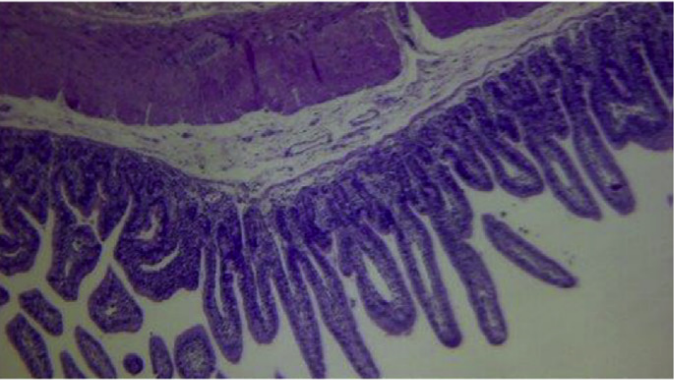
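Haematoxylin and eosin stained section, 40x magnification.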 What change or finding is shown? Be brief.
edema in the submucosa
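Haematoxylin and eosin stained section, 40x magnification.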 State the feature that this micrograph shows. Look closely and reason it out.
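Many long finger-like projections of mucosa point into the empty lumen. Each projection is covered by a dark purple epithelial layer around a paler core.
Answer: villi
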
